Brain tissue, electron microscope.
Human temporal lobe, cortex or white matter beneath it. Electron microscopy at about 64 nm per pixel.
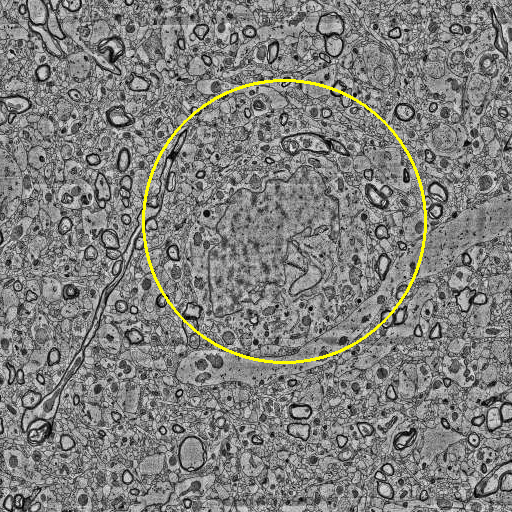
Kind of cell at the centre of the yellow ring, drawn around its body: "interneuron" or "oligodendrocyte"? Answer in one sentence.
The ring's centre falls on an interneuron.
